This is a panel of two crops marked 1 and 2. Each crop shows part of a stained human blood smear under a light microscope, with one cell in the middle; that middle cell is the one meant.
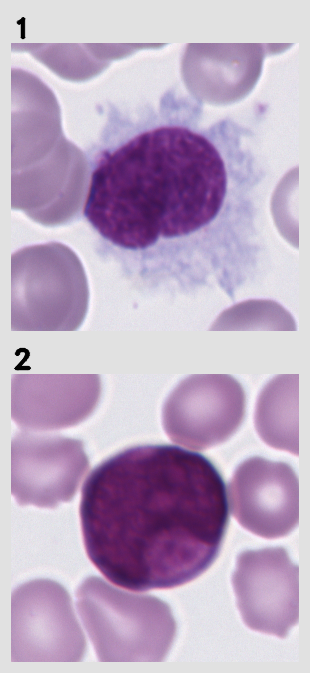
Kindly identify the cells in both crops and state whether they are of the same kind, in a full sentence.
No, crop 1 features a hairy cell, while crop 2 features a myeloblast.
